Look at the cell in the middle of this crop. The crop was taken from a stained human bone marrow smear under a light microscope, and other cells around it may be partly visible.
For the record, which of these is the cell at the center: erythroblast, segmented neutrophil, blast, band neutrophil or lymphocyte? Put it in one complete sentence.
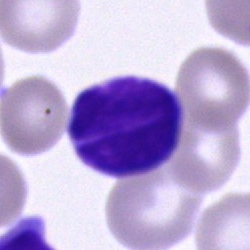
The cell around which this crop is centred is a lymphocyte.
